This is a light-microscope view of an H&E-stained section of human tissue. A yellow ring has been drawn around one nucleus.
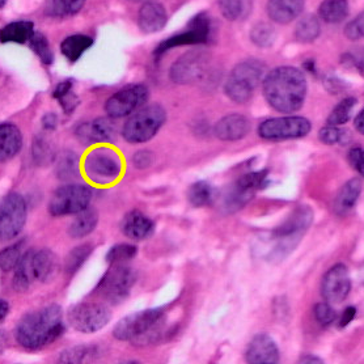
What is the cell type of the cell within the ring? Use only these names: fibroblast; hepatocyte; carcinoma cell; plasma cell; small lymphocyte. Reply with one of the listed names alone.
carcinoma cell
